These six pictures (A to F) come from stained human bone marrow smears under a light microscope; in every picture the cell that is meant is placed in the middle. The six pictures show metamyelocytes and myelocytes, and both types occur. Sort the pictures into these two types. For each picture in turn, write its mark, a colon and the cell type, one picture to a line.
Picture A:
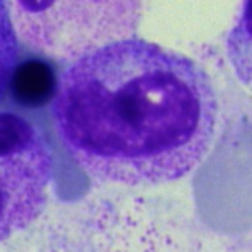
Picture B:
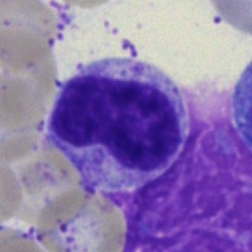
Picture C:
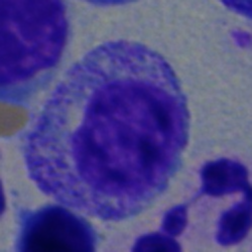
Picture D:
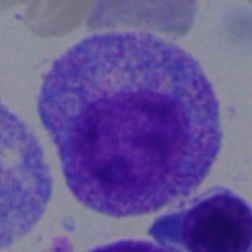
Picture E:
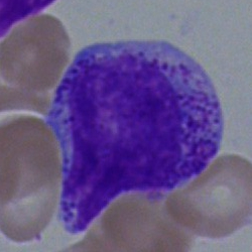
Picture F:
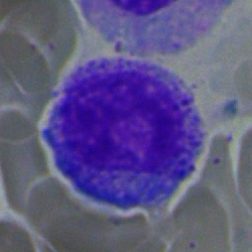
A: metamyelocyte
B: metamyelocyte
C: myelocyte
D: myelocyte
E: myelocyte
F: myelocyte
